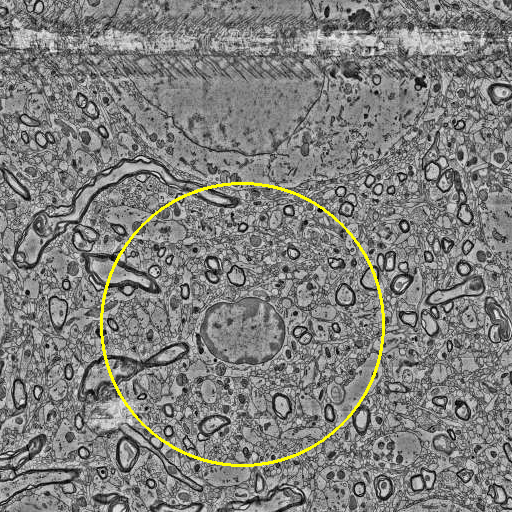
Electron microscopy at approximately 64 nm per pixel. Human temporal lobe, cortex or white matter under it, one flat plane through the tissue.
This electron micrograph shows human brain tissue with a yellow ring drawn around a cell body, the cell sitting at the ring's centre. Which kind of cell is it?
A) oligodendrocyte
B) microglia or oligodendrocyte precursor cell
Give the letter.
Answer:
B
